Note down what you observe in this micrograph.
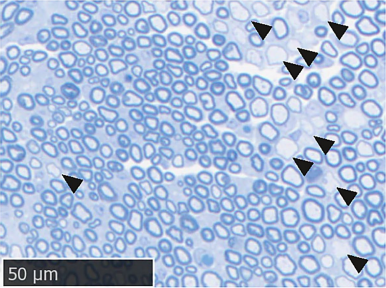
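Transverse section of peripheral nerve with many small myelinated fibres, their myelin as dark blue rings around pale axons. Scattered among them are pale axon profiles without a dark myelin ring, marked by arrowheads, and pale spaces between fibres.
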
